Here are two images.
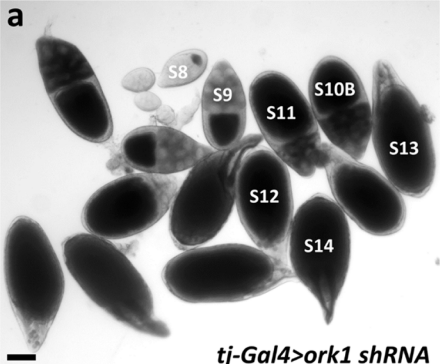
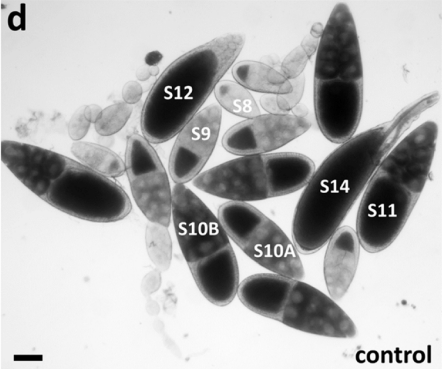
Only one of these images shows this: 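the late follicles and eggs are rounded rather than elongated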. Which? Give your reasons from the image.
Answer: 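Second image: the late follicles are long and slender, clearly elongated along one axis. On this evidence: the first image.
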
